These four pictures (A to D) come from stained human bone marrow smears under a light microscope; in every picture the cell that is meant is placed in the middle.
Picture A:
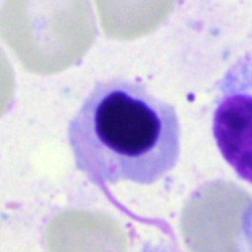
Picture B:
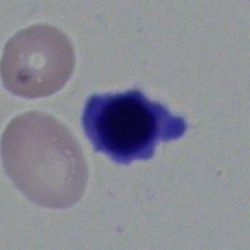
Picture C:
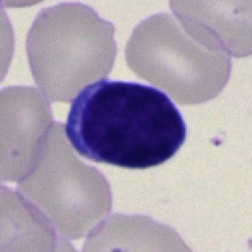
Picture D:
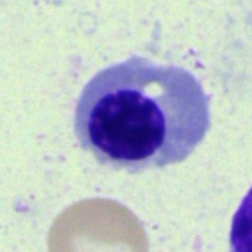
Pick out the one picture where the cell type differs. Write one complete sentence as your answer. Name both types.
The others show erythroblasts, but picture C shows a lymphocyte.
